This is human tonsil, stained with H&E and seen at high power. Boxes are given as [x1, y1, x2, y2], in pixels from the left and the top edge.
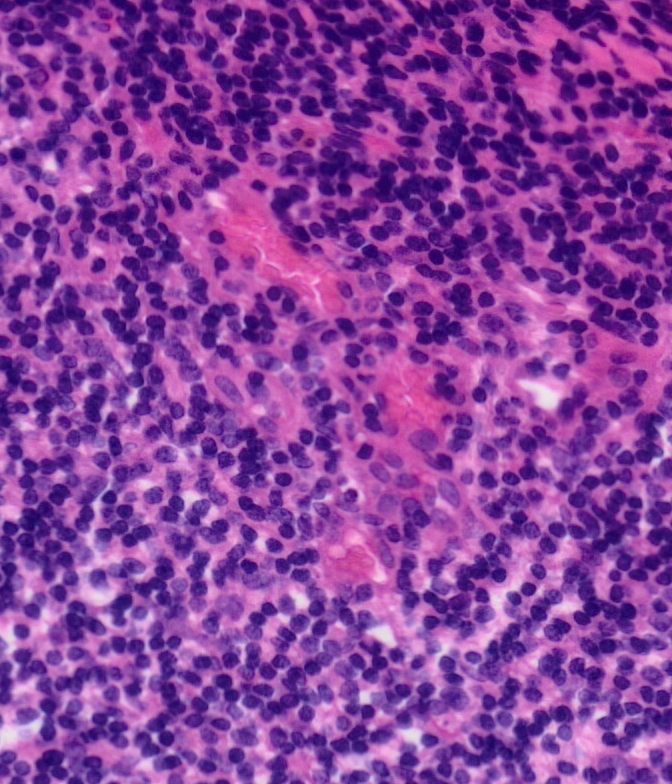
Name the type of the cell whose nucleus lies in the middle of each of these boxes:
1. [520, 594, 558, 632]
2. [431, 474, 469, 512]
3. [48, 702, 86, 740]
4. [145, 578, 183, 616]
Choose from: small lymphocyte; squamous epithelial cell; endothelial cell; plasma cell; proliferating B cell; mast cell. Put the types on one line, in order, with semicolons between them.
small lymphocyte; endothelial cell; small lymphocyte; small lymphocyte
